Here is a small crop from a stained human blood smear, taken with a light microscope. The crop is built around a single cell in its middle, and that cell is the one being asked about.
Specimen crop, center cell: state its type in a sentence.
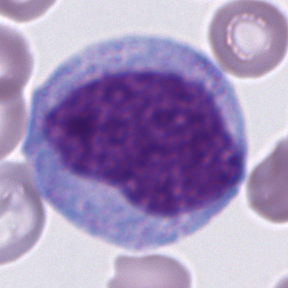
Where the crop is centred, there is a promyelocyte.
